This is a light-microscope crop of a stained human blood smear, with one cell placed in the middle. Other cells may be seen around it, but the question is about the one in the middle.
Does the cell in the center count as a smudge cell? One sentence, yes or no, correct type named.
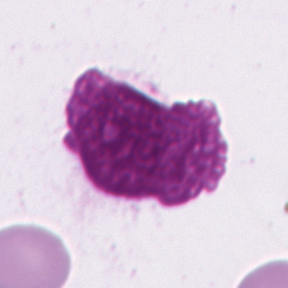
Yes, the cell of interest in the centre is a smudge cell.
